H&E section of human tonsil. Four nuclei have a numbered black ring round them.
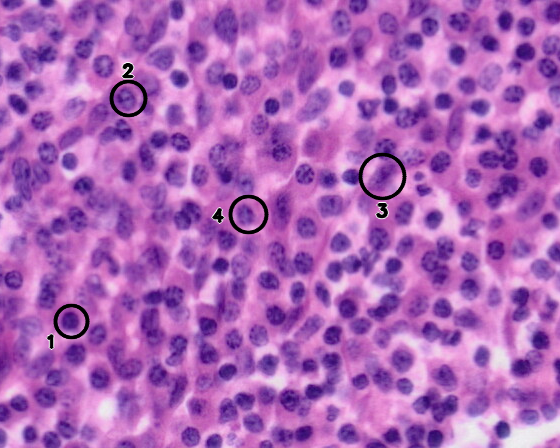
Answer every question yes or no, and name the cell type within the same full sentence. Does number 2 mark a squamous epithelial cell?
No, cell 2 is not a squamous epithelial cell; a plasma cell is the correct identification.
